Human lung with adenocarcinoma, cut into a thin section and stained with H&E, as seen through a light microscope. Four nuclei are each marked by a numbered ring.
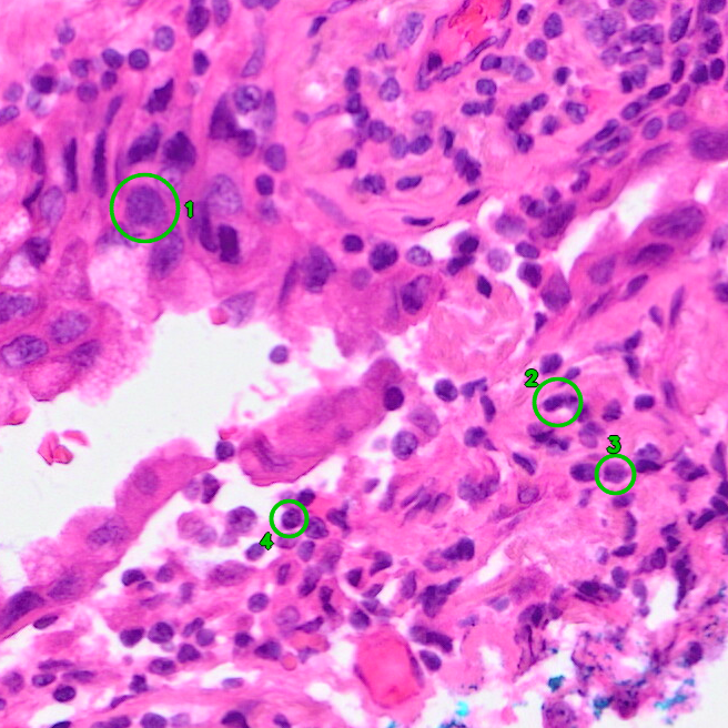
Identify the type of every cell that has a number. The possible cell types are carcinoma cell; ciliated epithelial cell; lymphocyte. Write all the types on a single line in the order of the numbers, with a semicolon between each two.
carcinoma cell; lymphocyte; lymphocyte; lymphocyte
